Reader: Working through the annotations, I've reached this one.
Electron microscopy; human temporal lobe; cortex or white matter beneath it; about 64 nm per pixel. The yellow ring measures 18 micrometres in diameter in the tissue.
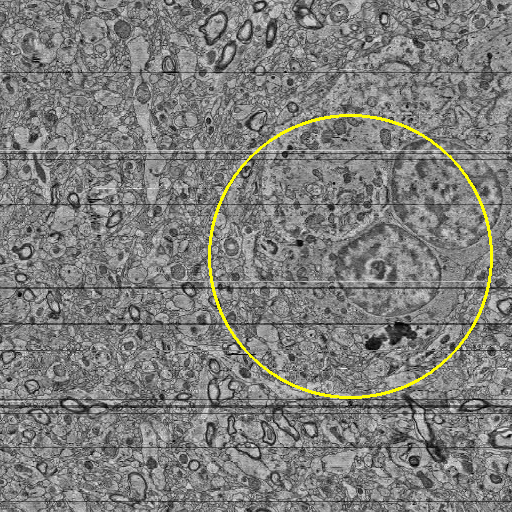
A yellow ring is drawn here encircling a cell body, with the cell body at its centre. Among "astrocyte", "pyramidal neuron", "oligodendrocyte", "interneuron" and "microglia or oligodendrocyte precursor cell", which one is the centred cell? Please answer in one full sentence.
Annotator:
The cell body at the centre of the yellow ring in this image belongs to an oligodendrocyte.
